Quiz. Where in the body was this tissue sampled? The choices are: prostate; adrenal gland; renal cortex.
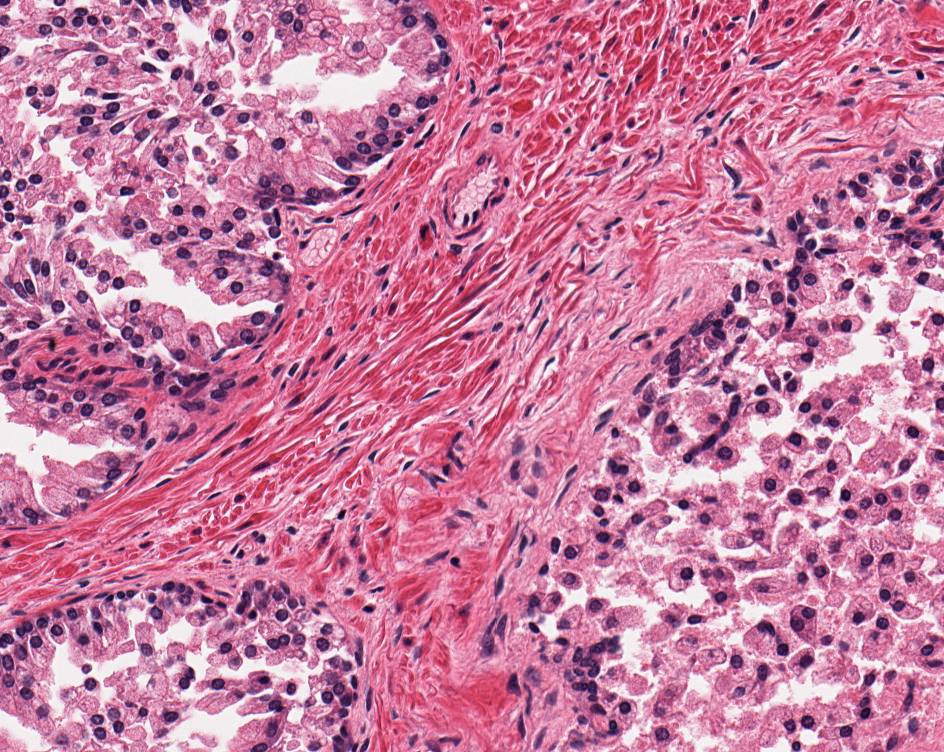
prostate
